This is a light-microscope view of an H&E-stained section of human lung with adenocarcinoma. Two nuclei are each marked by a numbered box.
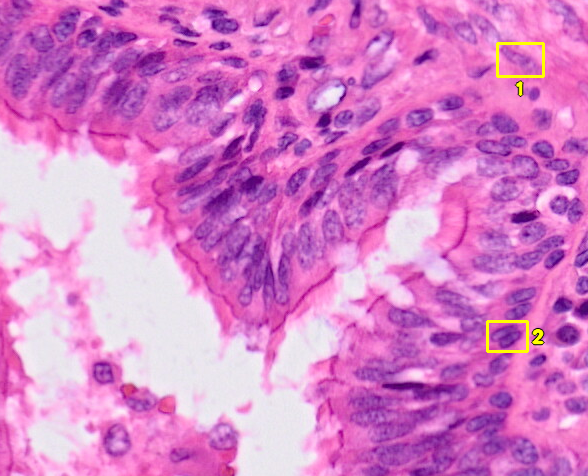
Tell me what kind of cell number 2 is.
ciliated epithelial cell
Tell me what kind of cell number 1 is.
smooth muscle cell or pericyte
